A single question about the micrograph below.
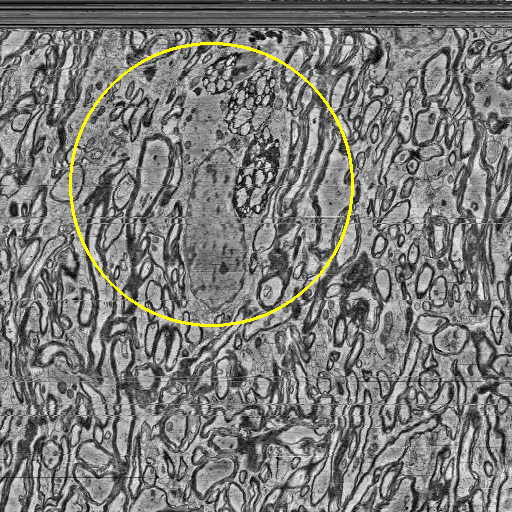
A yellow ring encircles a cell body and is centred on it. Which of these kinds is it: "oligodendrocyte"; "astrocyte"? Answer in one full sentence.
The cell body at the centre of the yellow ring belongs to an astrocyte.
